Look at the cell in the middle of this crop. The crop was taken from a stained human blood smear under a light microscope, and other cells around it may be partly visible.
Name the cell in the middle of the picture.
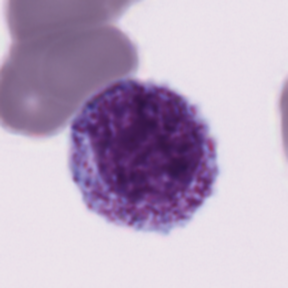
myelocyte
